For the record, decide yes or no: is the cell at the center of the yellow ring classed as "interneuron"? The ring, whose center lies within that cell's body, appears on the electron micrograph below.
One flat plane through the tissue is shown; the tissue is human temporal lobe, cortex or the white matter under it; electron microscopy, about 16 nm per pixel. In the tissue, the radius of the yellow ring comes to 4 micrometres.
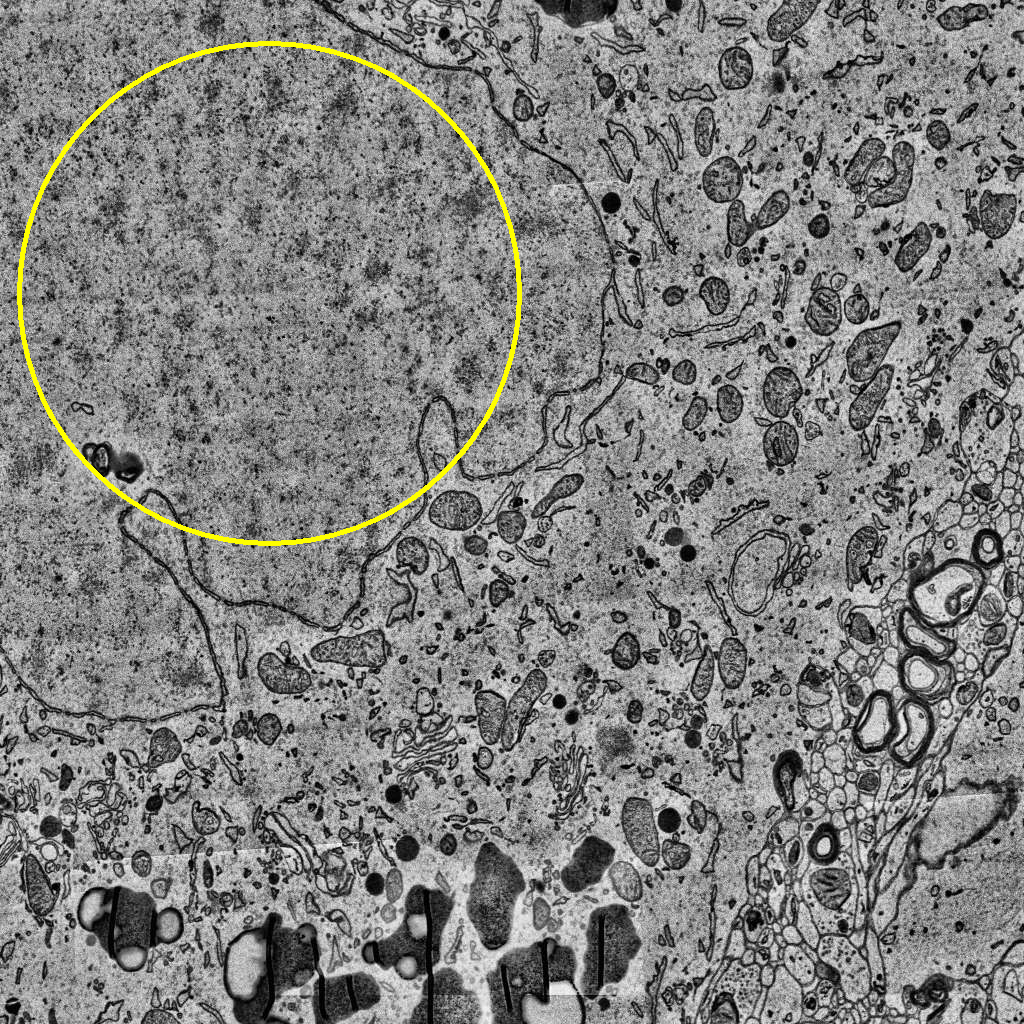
no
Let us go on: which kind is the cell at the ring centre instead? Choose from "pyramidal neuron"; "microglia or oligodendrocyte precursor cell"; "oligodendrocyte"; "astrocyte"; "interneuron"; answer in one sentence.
Instead, the ring surrounds a pyramidal neuron in this picture.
